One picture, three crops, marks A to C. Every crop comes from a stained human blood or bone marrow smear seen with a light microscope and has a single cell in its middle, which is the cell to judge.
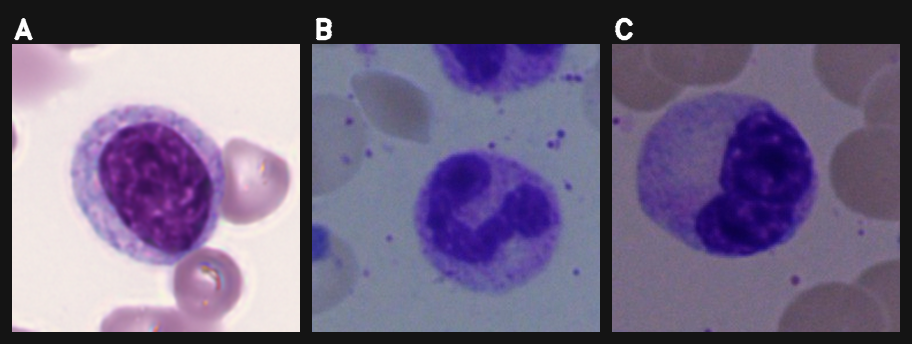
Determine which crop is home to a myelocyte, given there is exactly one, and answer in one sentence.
Of the crops shown, crop A depicts a myelocyte.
